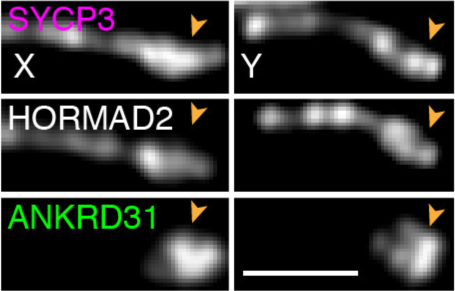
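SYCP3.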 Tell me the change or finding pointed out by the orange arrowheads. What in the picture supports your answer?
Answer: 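Axis thickening. The chromosome axes widen into a bulbous end near the arrowheads. The thickened end is wider than the rest of the axis.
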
